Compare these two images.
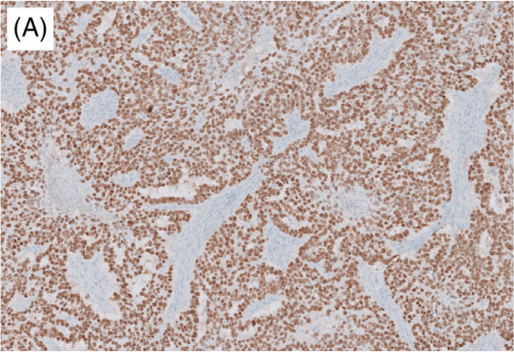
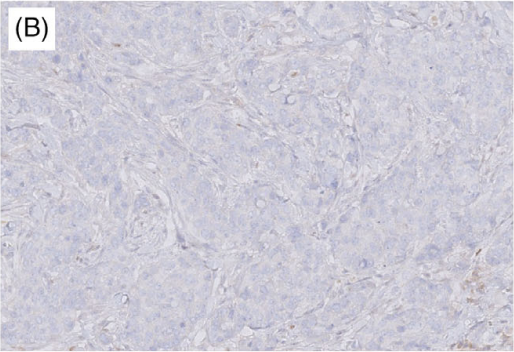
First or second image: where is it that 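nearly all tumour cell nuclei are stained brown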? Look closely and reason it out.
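Second image: tumour cell nuclei are pale blue with no brown stain. First image: almost every tumour cell nucleus is dark brown.
The first image.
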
